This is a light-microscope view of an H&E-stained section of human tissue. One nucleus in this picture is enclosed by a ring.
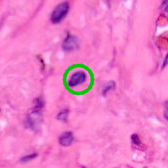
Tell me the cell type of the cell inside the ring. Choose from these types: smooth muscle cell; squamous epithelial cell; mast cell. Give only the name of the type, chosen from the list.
mast cell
